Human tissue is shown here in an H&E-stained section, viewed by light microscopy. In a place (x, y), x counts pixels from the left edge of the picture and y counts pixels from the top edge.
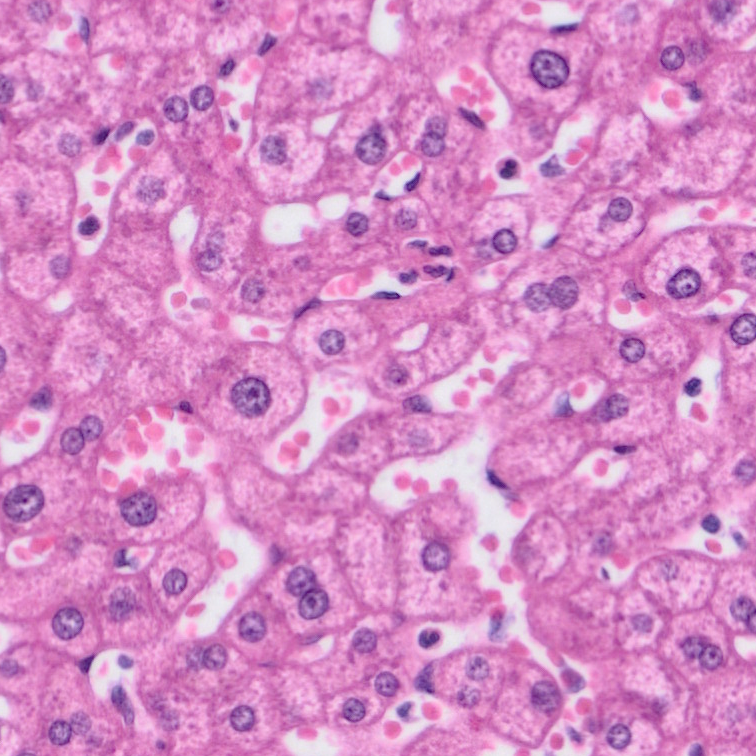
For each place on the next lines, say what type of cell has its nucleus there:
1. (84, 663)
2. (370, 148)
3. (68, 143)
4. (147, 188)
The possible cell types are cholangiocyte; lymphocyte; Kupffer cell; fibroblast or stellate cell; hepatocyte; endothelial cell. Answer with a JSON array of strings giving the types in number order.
["fibroblast or stellate cell", "hepatocyte", "hepatocyte", "hepatocyte"]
